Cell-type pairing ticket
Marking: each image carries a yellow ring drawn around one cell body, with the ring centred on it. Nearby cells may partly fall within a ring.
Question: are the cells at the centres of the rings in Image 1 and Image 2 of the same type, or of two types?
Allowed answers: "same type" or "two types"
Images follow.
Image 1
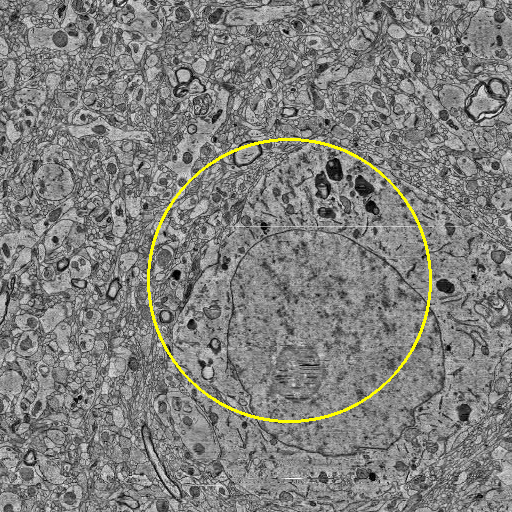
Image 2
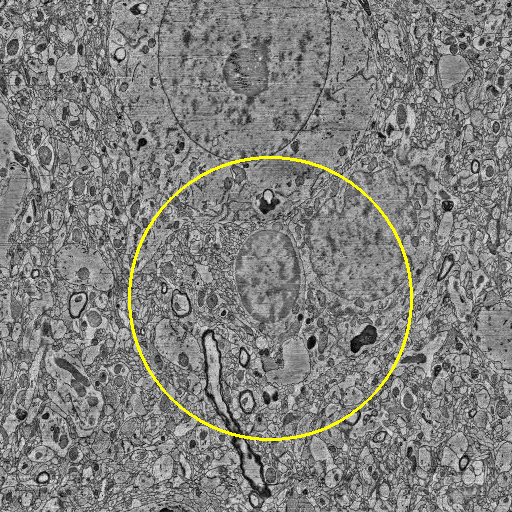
two types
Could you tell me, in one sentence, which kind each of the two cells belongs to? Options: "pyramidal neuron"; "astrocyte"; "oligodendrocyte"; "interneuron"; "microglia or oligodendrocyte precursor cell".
At the centre of the first ring sits a pyramidal neuron, and at the centre of the second sits an oligodendrocyte.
